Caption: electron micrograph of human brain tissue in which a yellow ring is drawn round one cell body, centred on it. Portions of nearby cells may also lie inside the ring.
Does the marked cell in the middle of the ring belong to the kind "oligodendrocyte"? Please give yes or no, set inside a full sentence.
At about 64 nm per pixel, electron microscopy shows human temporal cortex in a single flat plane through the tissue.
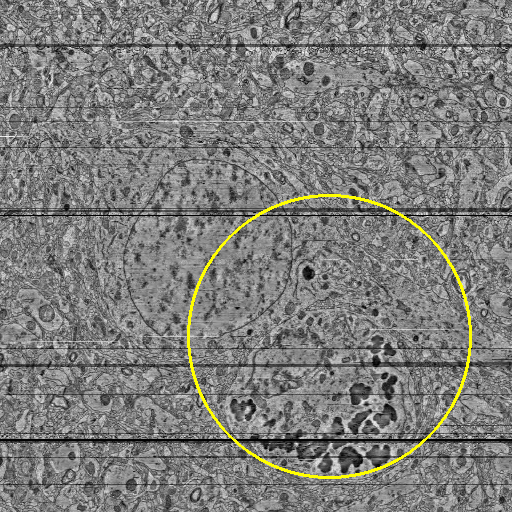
No, the marked cell that the ring is centred on in the picture is of another kind.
